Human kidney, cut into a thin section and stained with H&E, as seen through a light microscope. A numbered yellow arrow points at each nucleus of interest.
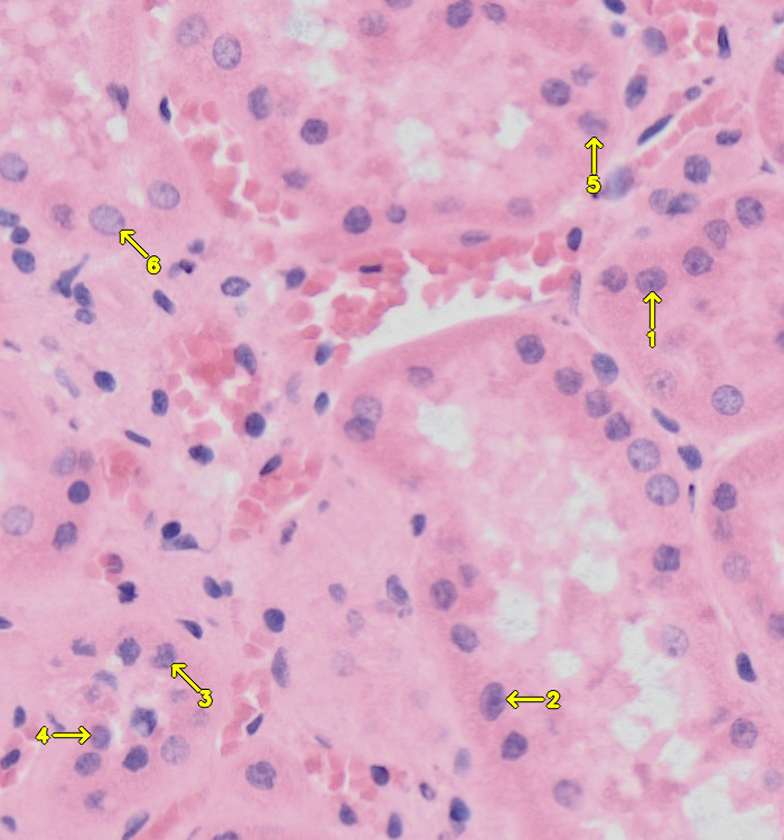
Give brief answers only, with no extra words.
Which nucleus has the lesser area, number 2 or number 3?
3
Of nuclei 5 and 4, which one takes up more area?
5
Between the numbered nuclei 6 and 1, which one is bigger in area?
6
